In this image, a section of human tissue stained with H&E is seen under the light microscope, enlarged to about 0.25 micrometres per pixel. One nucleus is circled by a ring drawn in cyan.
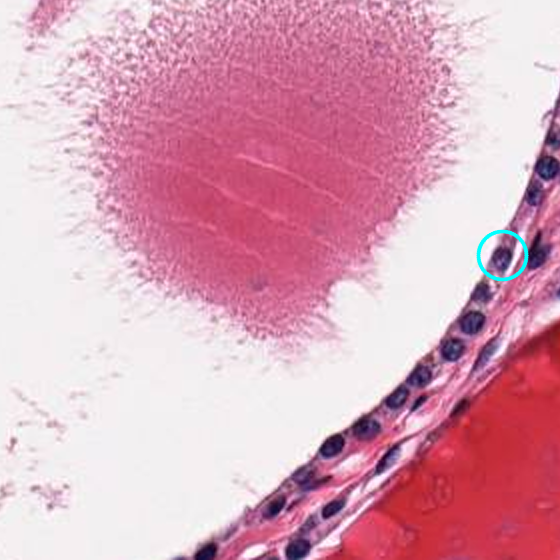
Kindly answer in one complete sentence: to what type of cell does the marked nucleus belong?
The marked nucleus here is the nucleus of a thyroid follicular cell.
